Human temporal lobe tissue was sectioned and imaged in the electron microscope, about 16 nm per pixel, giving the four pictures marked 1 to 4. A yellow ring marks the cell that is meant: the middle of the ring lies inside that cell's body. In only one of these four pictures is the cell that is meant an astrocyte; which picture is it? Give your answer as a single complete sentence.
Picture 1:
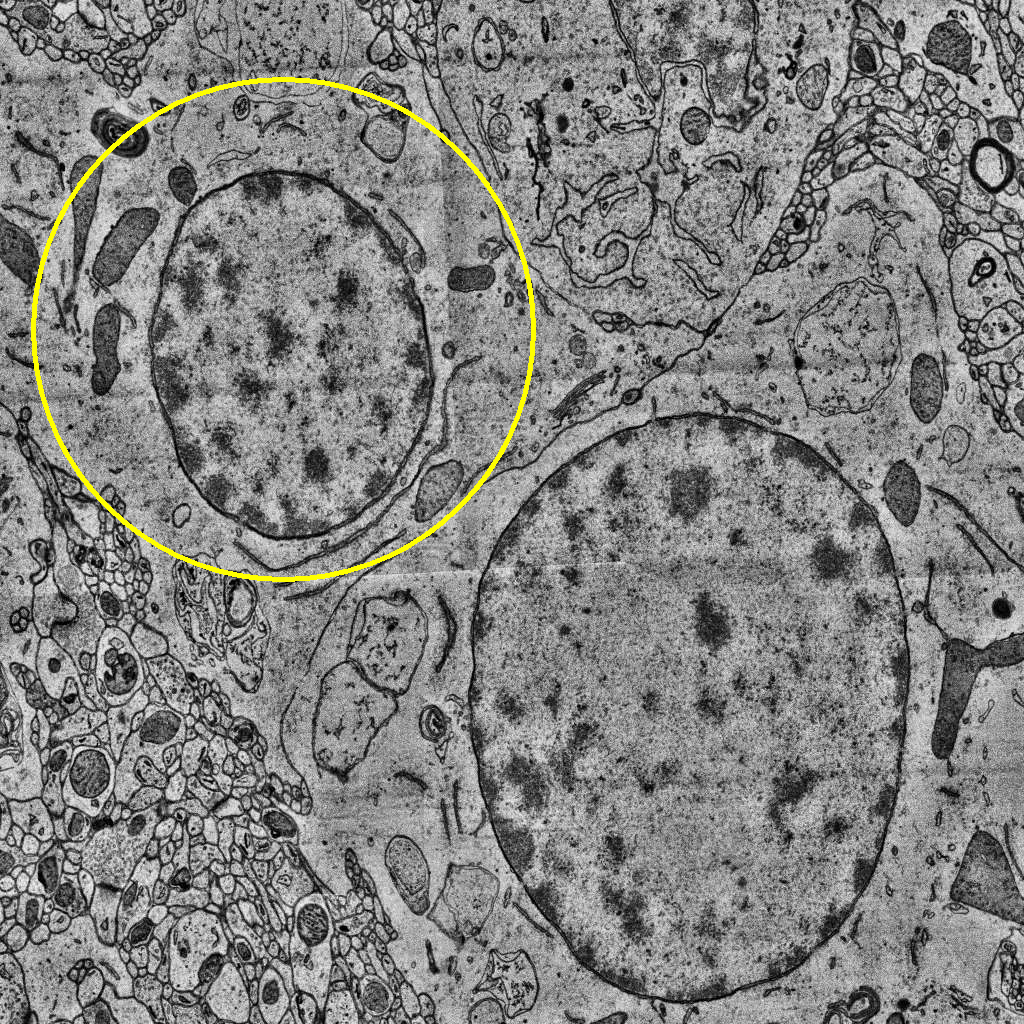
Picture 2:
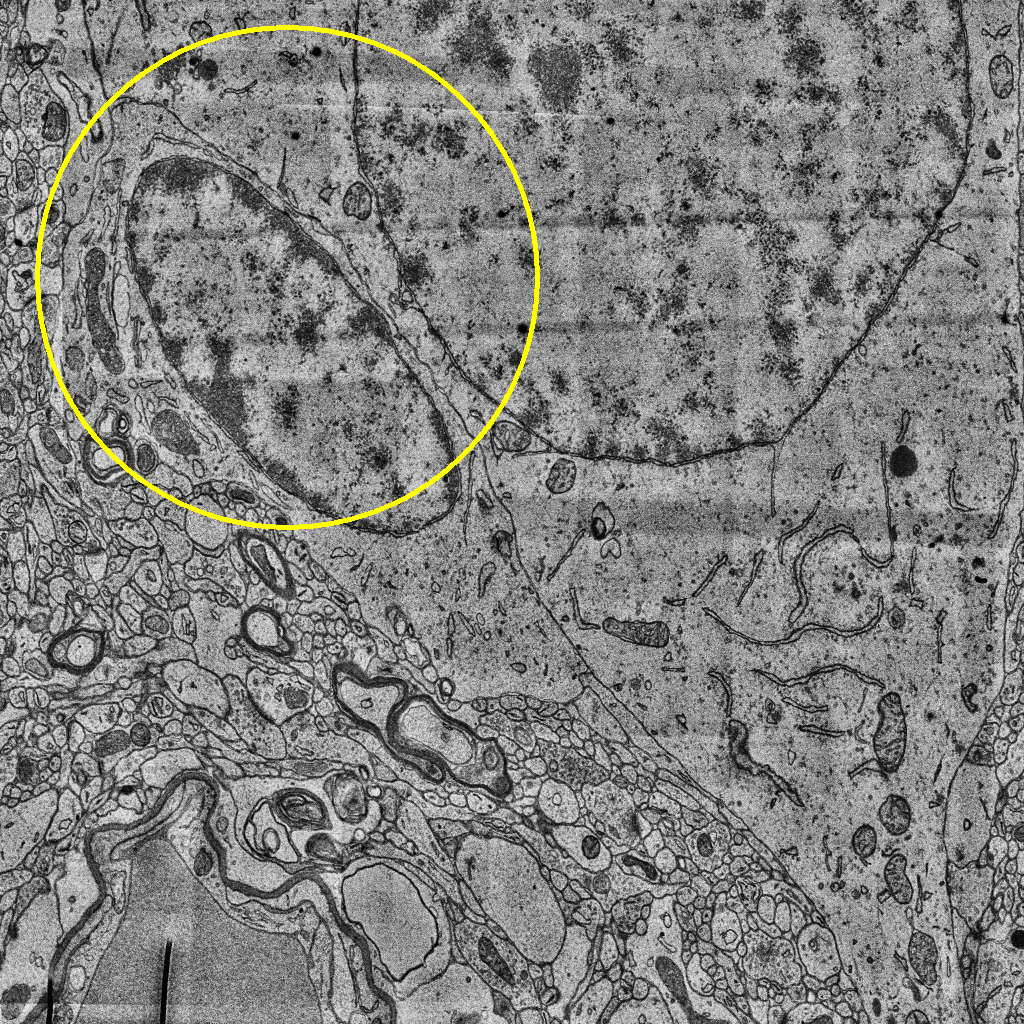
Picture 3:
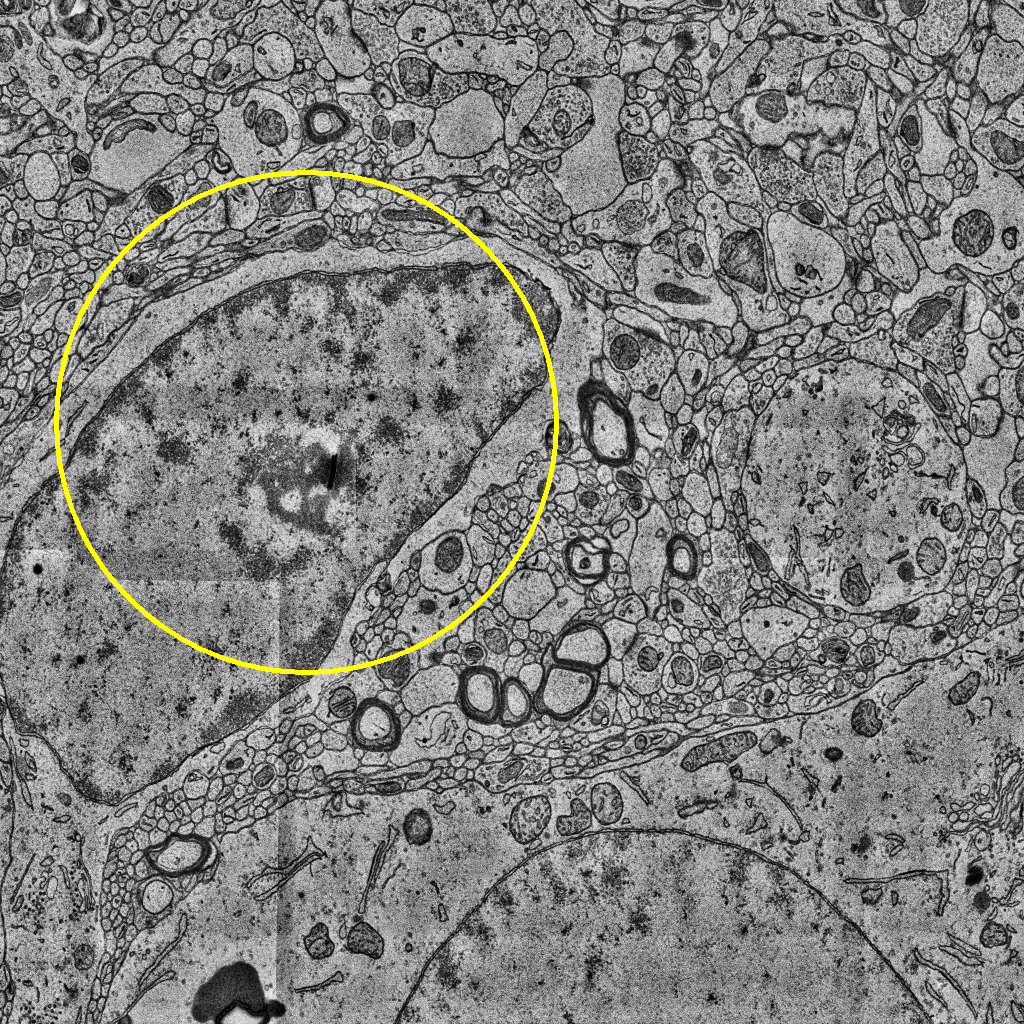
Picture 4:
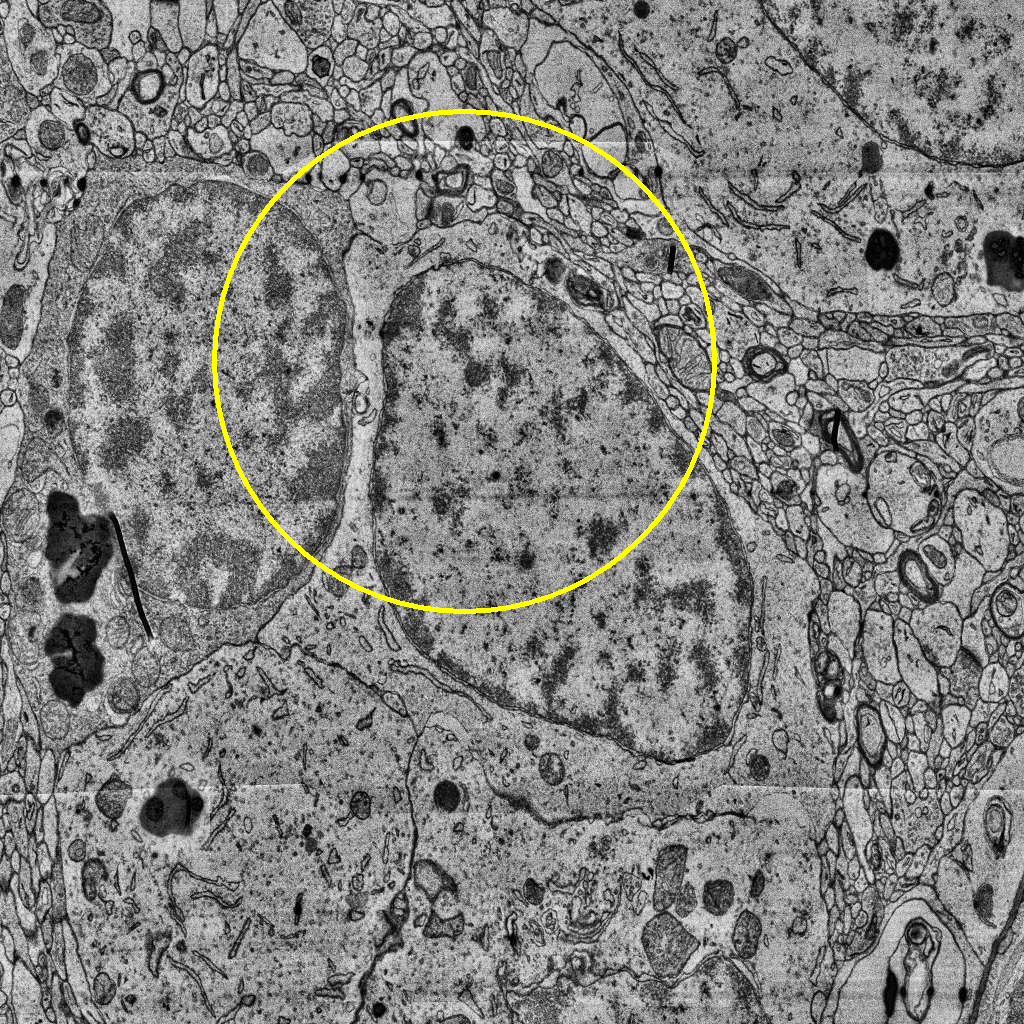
Picture 1 is the one that shows the astrocyte.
